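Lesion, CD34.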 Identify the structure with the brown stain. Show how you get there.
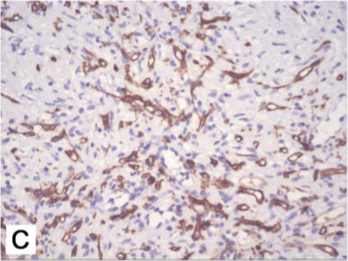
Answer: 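Capillaries. Brown stain outlines many small, slender vascular channels. The channels are narrow and branching, scattered among pale spindle cells.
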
